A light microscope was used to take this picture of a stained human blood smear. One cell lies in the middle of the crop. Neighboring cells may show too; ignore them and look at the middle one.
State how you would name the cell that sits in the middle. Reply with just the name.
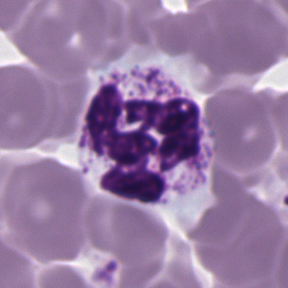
segmented neutrophil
